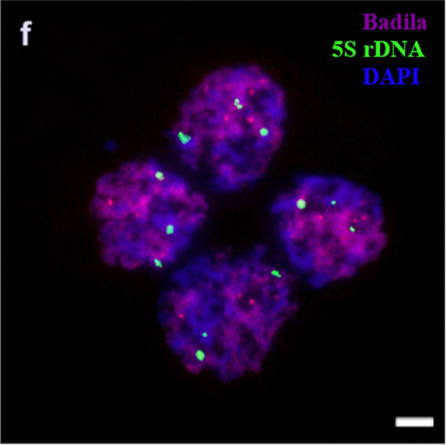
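Here four rounded products of meiosis sit pressed together in one cluster, the tetrad that closes the division of a pollen mother cell. Each of the four is a round nucleus of similar size filled with finely granular blue chromatin, mottled with pink-magenta patches. No separate condensed chromosomes can be made out any more; the chromatin has loosened into an interphase-like state.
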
